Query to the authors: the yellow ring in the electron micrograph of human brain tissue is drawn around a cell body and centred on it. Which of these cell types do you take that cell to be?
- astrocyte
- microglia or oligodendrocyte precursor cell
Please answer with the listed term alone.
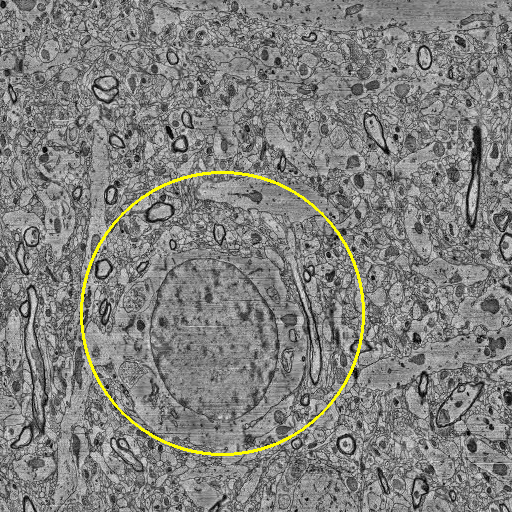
astrocyte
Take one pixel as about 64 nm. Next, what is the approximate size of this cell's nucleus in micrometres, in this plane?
The nucleus measures about 11 by 8 micrometres in this plane.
